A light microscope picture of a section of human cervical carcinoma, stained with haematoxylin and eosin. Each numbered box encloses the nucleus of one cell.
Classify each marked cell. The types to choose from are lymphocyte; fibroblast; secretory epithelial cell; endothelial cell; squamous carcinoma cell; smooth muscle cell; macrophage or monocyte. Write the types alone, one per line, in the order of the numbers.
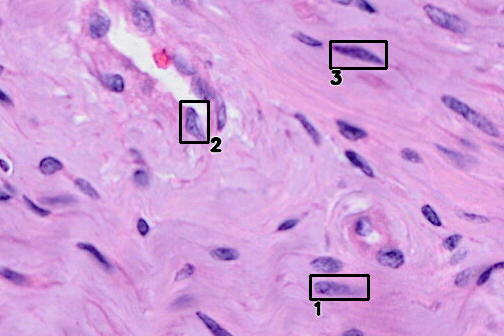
fibroblast
endothelial cell
fibroblast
